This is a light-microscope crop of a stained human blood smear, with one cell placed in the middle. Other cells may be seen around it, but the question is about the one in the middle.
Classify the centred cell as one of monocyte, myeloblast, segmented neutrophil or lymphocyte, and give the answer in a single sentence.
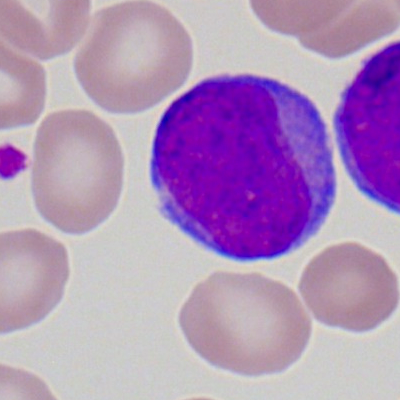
In short, the cell at the center is a myeloblast.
